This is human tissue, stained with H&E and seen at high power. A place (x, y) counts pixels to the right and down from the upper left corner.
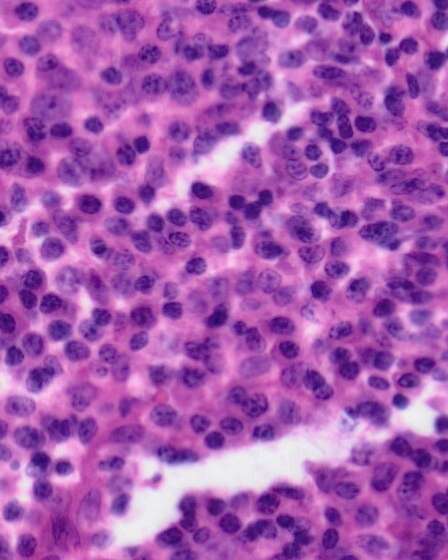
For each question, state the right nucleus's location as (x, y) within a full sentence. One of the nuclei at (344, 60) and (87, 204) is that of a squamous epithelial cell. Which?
The correct choice is the nucleus at (344, 60), which belongs to a squamous epithelial cell.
